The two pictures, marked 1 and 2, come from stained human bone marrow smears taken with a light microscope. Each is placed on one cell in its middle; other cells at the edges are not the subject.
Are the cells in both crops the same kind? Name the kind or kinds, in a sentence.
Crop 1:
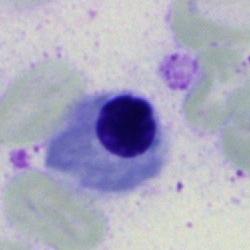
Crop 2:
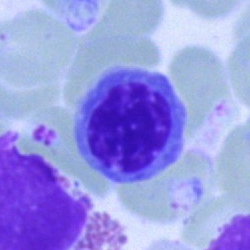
Yes, the cells placed at the centre of both crops are normoblasts.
